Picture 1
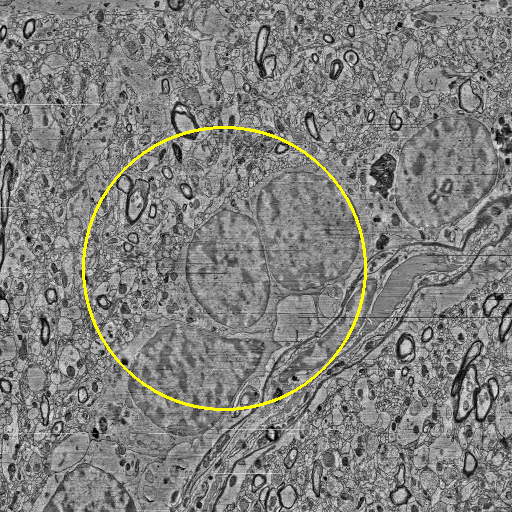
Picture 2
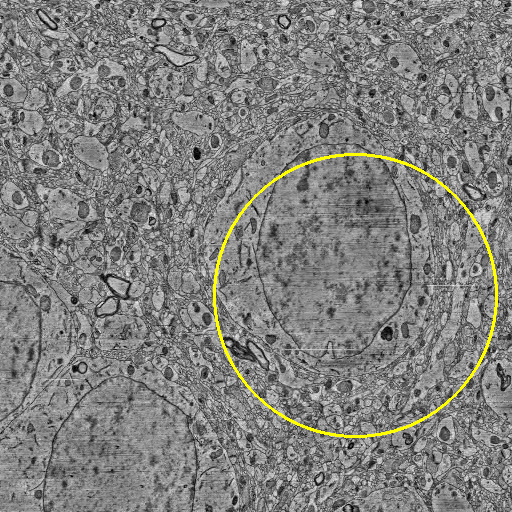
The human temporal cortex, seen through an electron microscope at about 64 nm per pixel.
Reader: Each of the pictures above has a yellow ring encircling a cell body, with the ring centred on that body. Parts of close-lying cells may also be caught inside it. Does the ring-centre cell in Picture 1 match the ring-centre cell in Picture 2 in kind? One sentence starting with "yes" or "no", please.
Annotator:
No, Picture 1 and Picture 2 show ring-centre cells of two kinds.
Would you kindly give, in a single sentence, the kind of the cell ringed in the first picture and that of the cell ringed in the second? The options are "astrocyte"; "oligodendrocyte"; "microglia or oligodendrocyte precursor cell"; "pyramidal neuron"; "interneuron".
The second cell is a pyramidal neuron, and the first cell is an oligodendrocyte.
